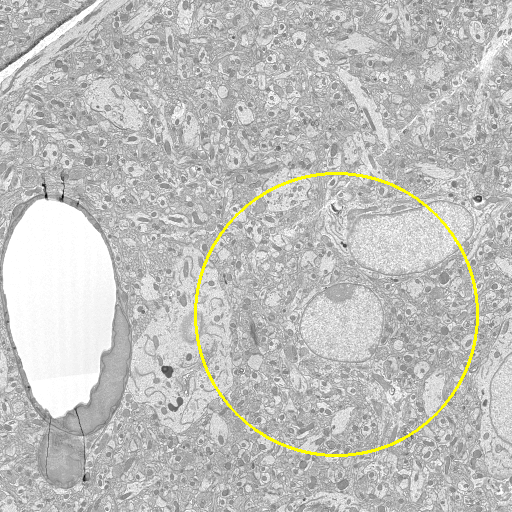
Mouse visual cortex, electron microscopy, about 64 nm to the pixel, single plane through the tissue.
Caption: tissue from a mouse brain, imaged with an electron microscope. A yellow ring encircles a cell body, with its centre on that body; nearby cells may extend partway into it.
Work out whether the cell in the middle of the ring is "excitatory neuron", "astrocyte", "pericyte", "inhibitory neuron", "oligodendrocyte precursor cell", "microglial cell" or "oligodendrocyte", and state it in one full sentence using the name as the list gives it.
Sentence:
In the picture, the cell that the yellow ring surrounds at its centre is an astrocyte.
